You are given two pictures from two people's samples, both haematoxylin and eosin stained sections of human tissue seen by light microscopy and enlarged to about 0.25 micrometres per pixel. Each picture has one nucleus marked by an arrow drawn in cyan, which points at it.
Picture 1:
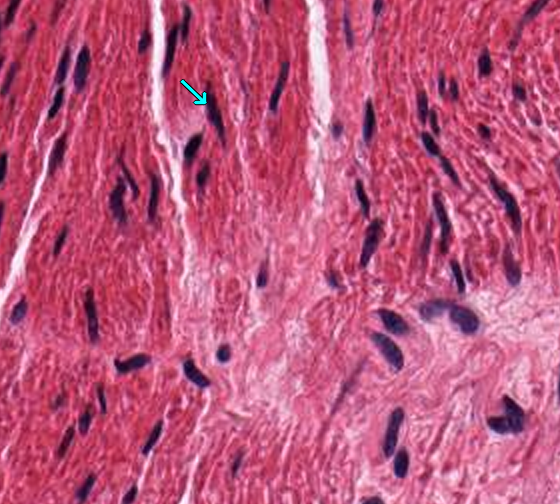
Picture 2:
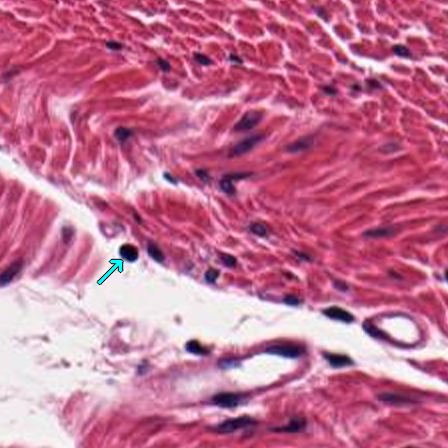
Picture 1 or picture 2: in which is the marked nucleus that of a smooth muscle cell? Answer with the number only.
1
